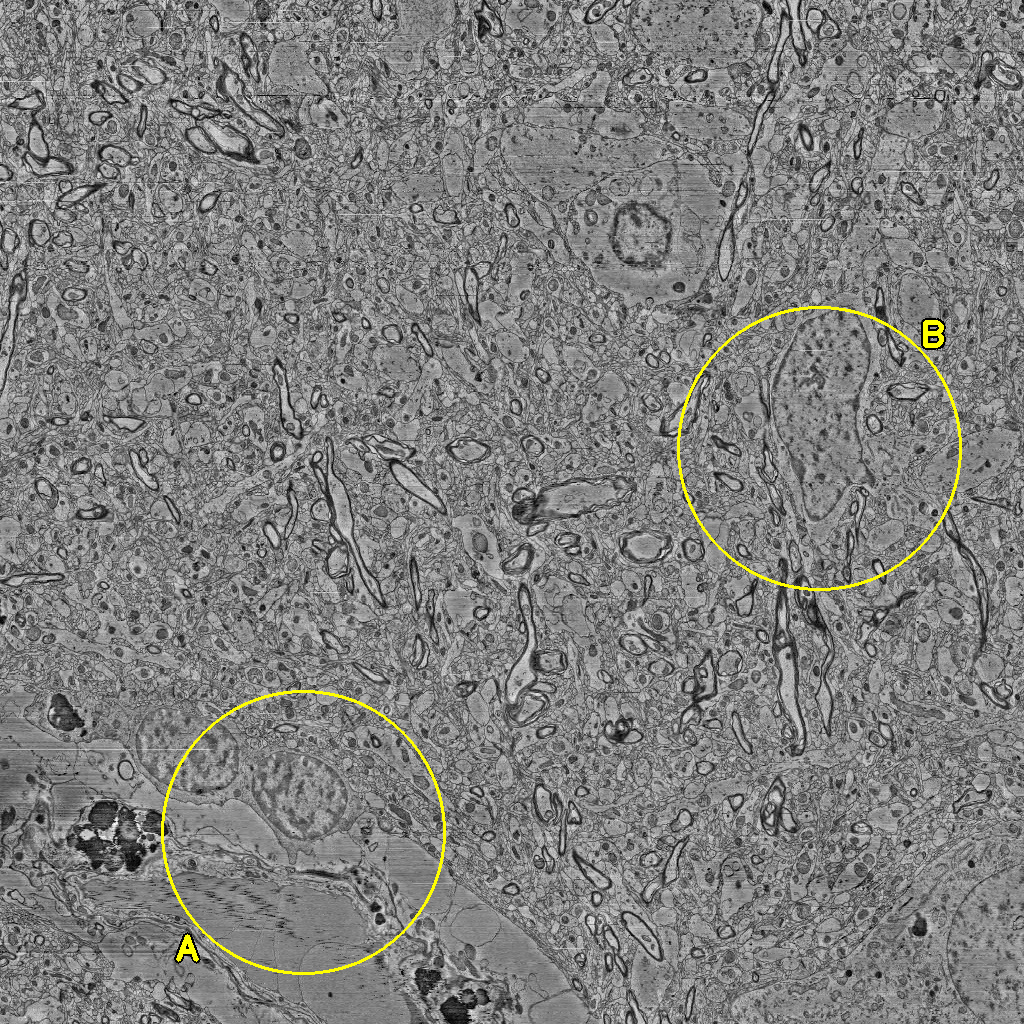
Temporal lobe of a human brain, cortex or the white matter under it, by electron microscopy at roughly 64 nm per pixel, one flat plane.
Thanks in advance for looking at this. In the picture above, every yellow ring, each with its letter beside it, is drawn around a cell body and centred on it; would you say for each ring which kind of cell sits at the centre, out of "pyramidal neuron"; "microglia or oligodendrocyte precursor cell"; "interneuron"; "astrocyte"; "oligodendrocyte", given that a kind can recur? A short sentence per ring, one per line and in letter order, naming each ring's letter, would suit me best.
The cell body in ring A belongs to an oligodendrocyte.
The cell body in ring B belongs to a microglial cell or oligodendrocyte precursor cell.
